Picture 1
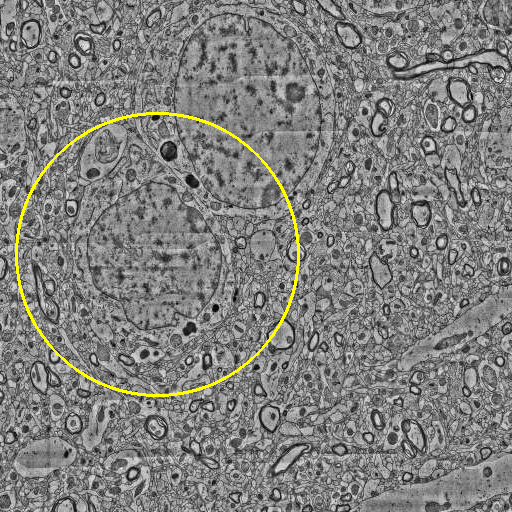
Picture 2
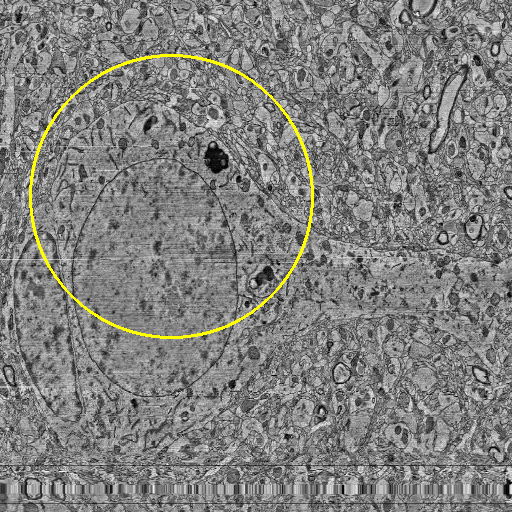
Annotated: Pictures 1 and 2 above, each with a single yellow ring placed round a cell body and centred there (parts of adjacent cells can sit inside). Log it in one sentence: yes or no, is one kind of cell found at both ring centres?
Yes, the ring centres of the two pictures hold cells of one kind.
